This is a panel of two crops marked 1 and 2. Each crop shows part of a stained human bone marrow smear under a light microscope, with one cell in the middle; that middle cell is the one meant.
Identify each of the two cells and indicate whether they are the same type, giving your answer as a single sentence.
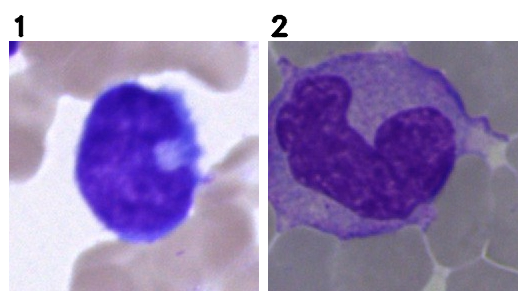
Yes, both crops are centred on monocytes.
